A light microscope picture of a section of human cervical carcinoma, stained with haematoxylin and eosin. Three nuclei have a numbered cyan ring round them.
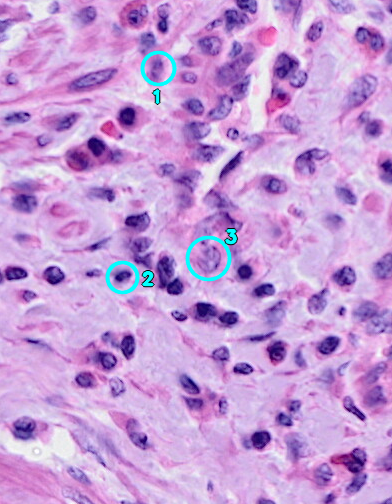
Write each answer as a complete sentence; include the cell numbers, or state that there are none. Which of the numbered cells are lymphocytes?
Cell 2 is a lymphocyte, whereas each of the other numbered cells is not.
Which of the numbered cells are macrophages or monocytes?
The nucleus numbered 1 is the only one that belongs to a macrophage or monocyte.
